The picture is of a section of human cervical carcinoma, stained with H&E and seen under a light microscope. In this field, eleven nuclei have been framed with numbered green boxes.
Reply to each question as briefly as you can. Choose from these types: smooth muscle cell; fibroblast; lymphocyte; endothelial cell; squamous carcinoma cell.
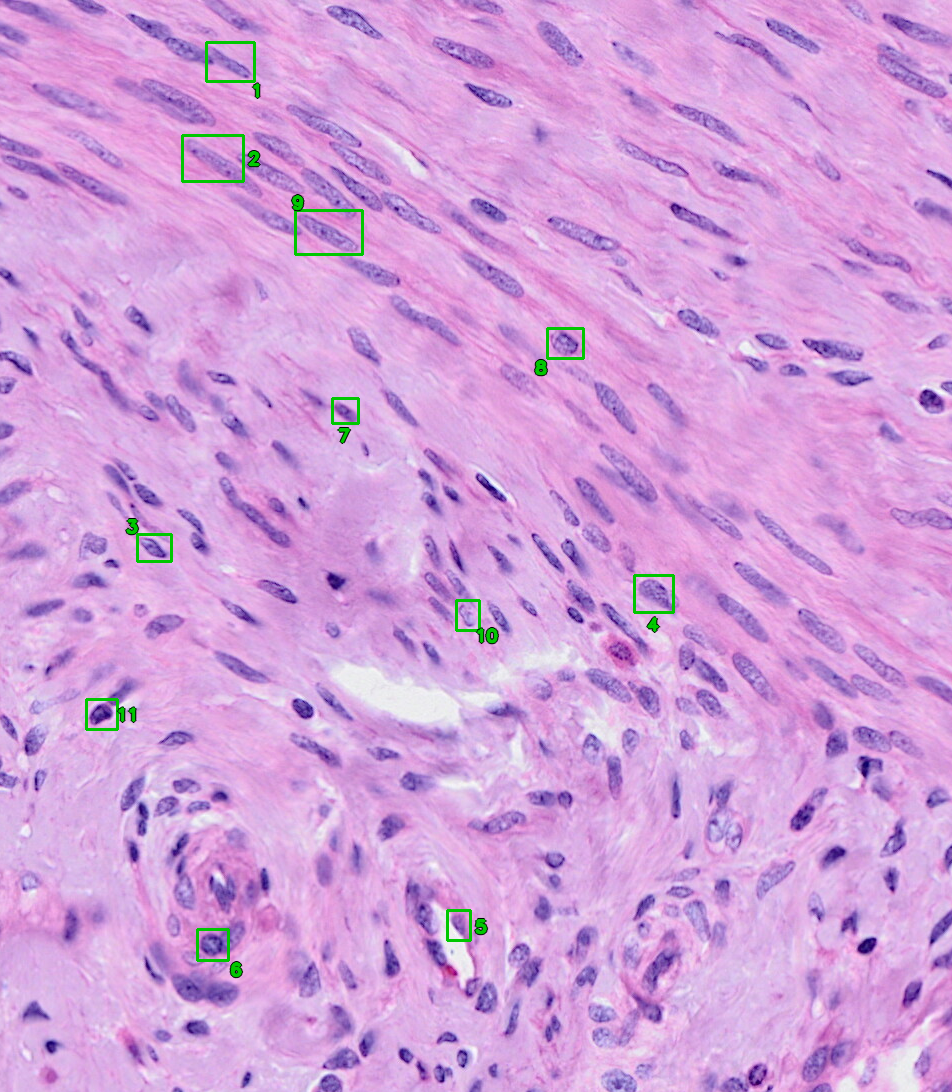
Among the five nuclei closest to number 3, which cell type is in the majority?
fibroblast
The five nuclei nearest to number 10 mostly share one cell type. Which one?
smooth muscle cell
